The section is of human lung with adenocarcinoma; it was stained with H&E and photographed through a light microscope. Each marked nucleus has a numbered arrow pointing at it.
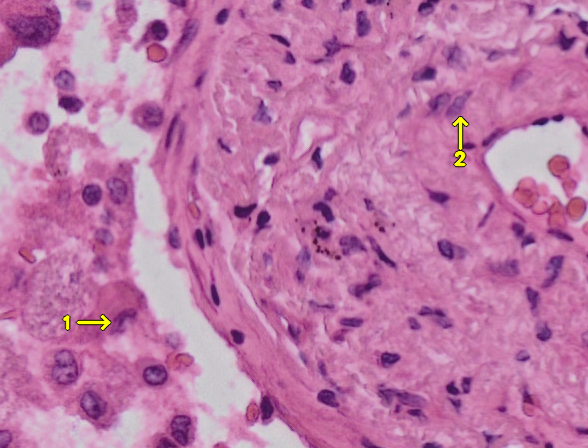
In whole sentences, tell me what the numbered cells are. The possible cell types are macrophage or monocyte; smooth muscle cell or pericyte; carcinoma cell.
Cell 1 is a macrophage or monocyte. Cell 2 is a smooth muscle cell or pericyte.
